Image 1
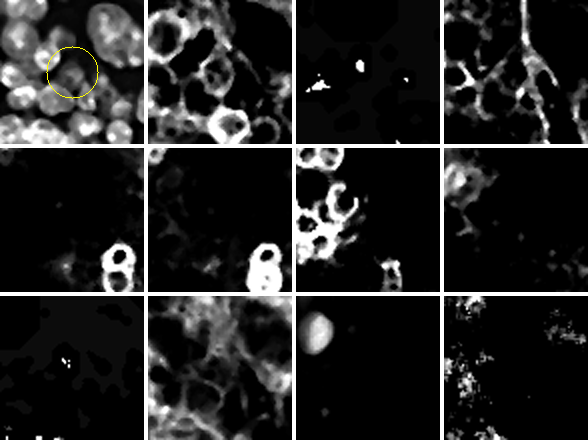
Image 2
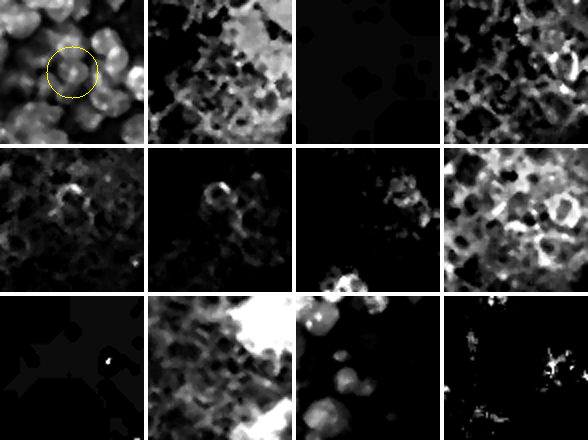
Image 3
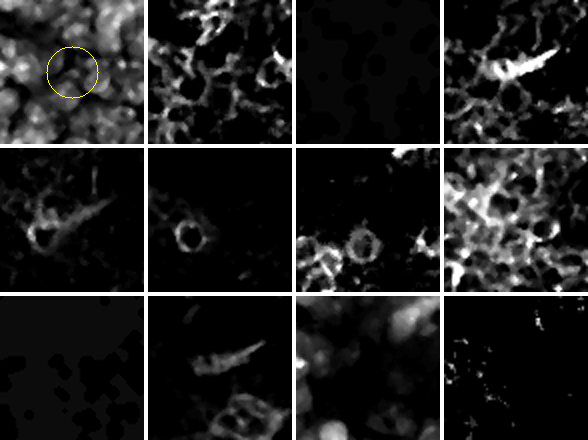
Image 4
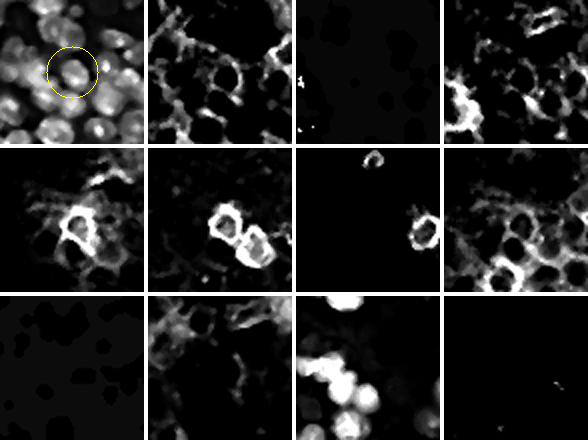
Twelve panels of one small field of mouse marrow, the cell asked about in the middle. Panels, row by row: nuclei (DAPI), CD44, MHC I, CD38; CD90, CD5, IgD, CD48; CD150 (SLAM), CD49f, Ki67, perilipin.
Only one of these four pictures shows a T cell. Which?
Picture 4.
